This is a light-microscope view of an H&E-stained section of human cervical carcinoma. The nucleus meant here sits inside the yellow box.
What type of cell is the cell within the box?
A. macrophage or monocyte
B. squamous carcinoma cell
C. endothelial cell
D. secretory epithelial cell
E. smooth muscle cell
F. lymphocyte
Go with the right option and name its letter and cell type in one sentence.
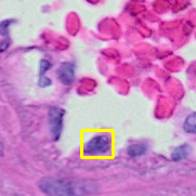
Given that the cell within the box is an endothelial cell, option C is the correct one.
